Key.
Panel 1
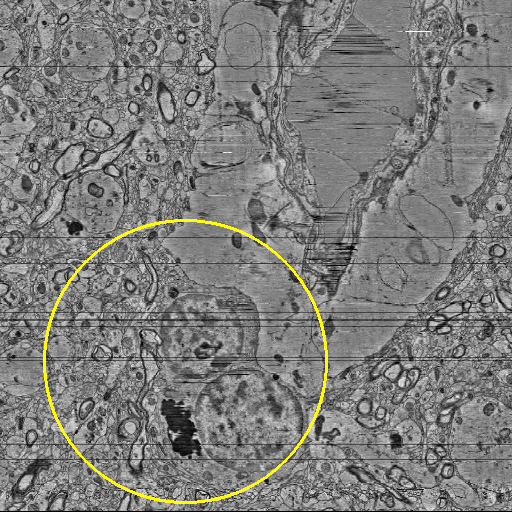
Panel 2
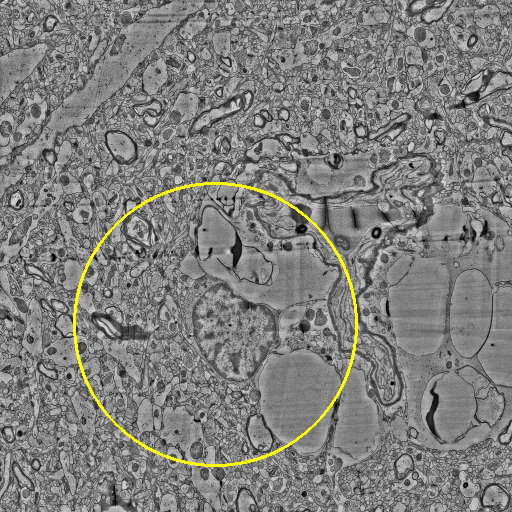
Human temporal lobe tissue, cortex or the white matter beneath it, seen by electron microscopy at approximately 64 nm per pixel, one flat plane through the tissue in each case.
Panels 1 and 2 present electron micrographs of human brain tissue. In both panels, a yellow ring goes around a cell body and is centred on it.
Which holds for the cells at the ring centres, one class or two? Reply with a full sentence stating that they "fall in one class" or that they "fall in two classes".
Taken together, the ring-centre cells of the two panels fall in one class.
